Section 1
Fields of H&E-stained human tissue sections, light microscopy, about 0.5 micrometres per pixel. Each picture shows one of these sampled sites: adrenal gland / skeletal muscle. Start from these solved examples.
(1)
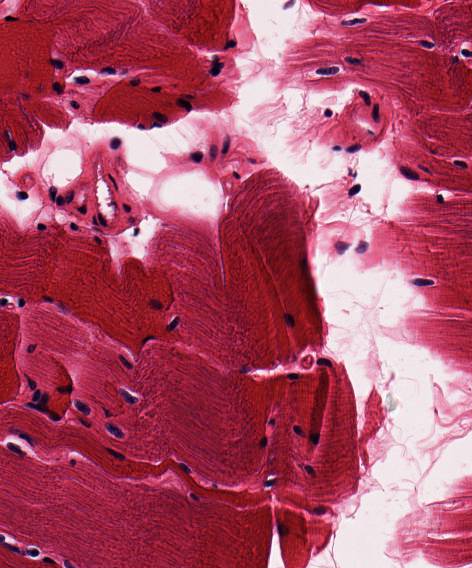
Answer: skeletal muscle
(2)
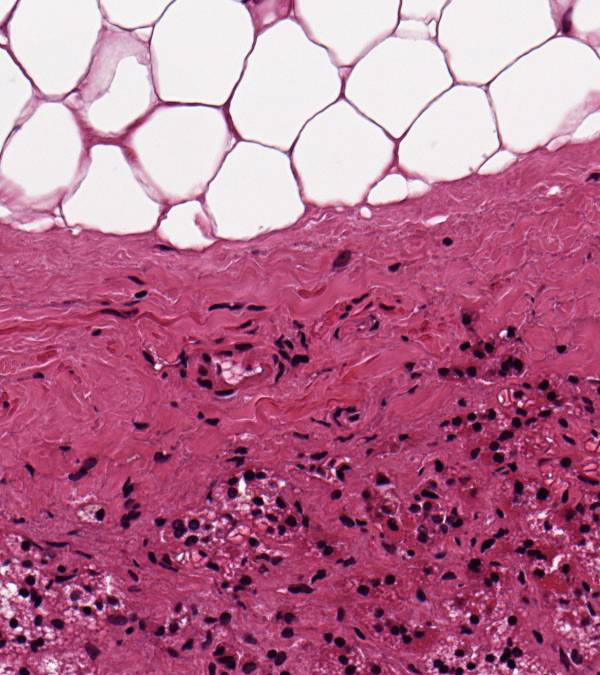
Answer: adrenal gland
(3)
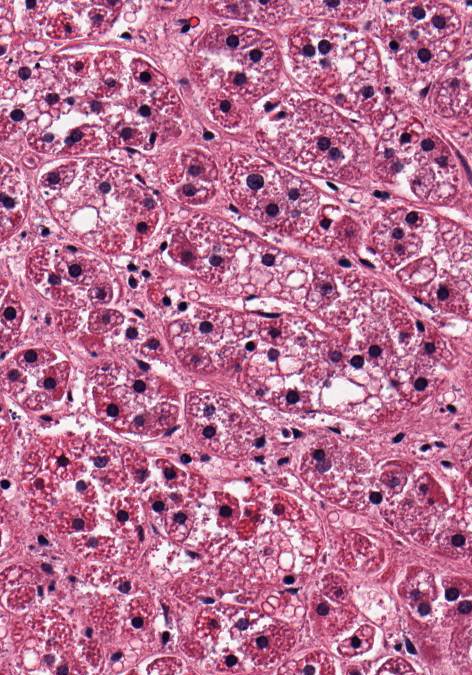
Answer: adrenal gland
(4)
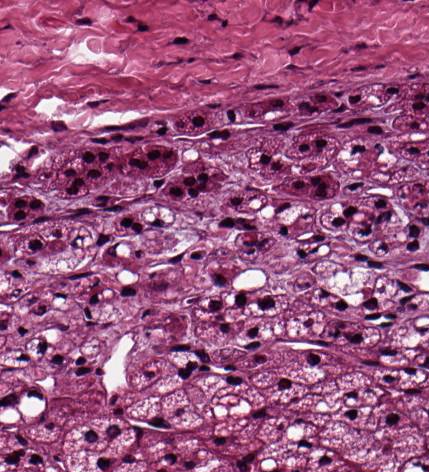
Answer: adrenal gland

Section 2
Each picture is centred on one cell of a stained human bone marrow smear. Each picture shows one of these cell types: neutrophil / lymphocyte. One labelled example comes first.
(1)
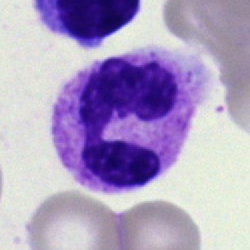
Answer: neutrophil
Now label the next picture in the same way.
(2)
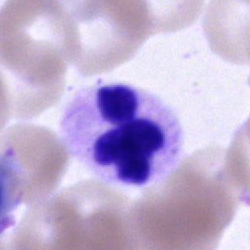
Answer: neutrophil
